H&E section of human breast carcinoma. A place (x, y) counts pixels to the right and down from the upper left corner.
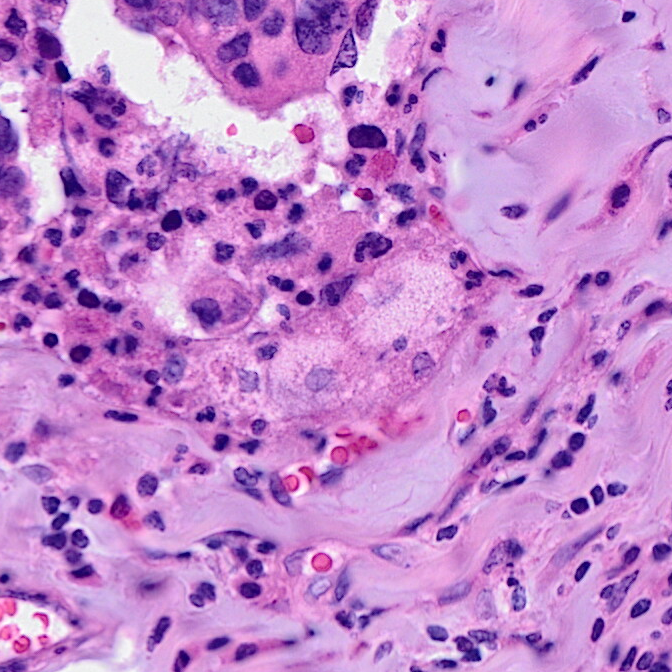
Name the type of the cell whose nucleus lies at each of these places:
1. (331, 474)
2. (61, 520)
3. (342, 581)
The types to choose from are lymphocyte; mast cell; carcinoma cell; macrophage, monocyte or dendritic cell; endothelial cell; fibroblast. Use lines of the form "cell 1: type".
cell 1: endothelial cell
cell 2: lymphocyte
cell 3: endothelial cell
